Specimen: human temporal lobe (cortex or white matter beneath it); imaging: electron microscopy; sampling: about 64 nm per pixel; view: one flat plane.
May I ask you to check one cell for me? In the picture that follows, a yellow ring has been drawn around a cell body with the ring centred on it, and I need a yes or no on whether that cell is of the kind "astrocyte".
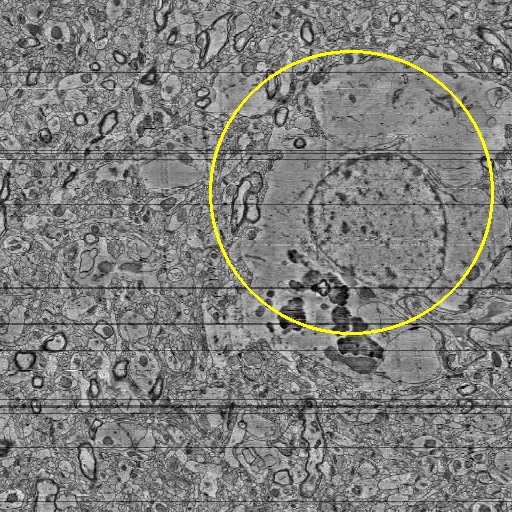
Yes, it is that kind of cell.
